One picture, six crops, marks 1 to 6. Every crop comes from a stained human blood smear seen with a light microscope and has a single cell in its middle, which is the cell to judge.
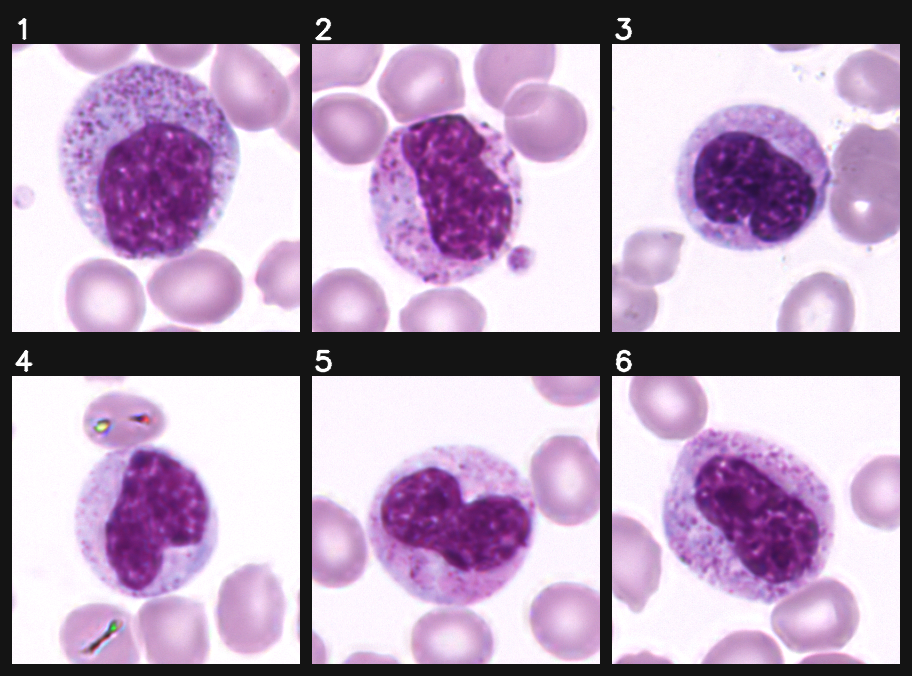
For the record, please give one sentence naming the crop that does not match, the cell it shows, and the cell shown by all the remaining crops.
Crop 1 contains a myelocyte, setting it apart from the other crops, which all contain metamyelocytes.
